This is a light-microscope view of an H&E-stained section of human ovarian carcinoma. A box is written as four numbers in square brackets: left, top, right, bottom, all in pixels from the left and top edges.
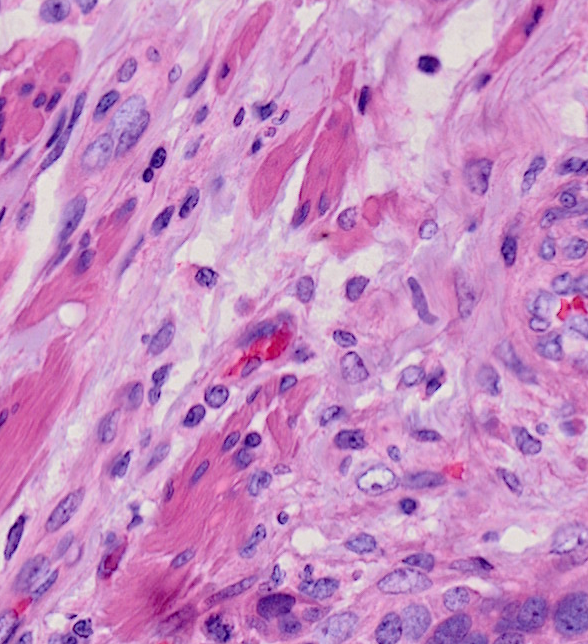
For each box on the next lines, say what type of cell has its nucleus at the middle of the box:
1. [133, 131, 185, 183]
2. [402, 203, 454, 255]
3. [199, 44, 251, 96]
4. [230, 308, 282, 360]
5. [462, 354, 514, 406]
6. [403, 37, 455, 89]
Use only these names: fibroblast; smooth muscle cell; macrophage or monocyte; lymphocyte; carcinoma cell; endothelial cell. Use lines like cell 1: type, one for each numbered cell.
cell 1: lymphocyte
cell 2: fibroblast
cell 3: smooth muscle cell
cell 4: endothelial cell
cell 5: fibroblast
cell 6: lymphocyte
